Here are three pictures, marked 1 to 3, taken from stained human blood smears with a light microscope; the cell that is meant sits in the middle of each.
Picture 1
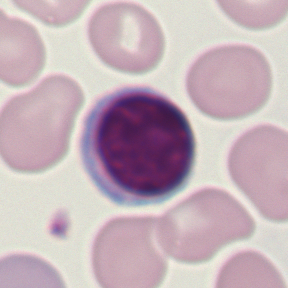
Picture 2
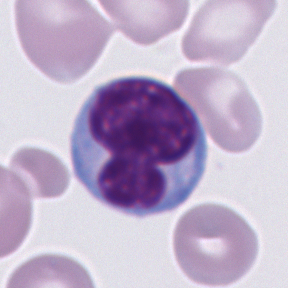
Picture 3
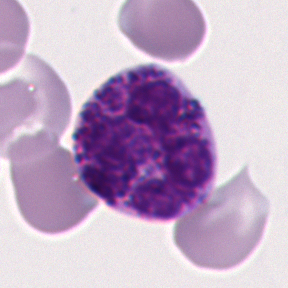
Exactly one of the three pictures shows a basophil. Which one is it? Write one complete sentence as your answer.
The cell in picture 3 is the basophil.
